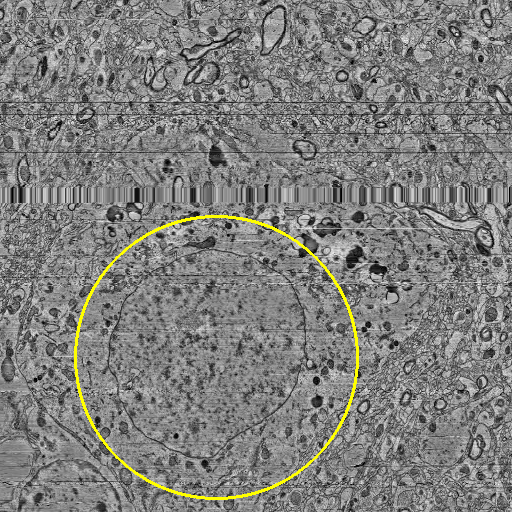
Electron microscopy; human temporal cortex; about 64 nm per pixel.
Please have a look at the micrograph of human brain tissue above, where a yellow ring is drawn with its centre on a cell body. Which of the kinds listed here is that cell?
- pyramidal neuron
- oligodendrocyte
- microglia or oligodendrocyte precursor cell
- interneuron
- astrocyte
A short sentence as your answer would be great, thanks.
At the centre of the ring sits a pyramidal neuron.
